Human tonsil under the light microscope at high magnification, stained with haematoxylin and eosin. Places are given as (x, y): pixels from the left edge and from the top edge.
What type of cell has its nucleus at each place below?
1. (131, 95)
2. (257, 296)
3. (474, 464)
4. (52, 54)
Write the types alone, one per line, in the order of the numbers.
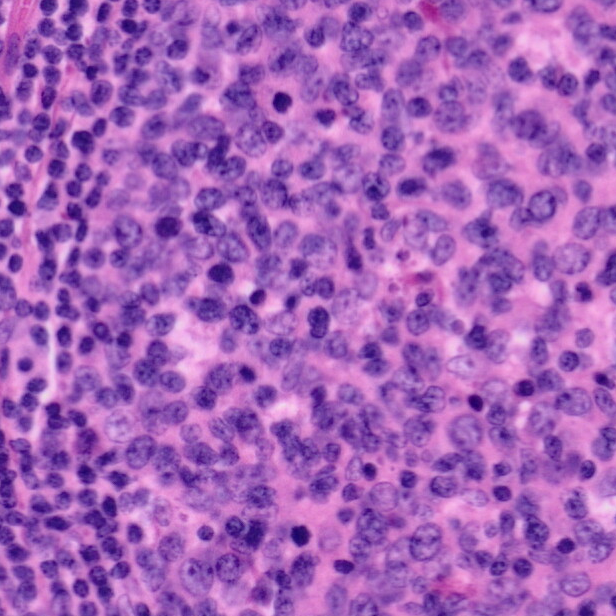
proliferating B cell
proliferating B cell
proliferating B cell
small lymphocyte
